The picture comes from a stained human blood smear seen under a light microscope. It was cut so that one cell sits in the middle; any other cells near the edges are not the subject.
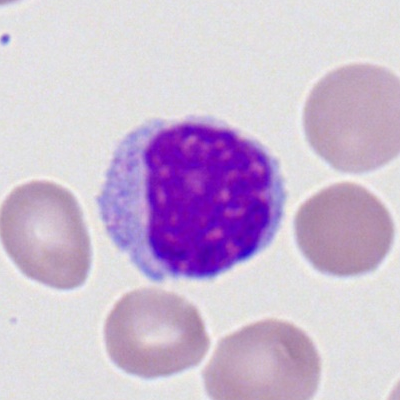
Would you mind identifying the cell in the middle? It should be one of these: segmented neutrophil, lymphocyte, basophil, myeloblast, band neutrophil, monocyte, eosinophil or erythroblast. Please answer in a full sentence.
The central element of this crop is a cell, namely a lymphocyte.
